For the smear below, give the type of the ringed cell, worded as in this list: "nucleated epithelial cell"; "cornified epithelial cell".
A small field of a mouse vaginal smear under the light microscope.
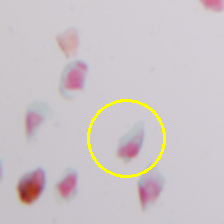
nucleated epithelial cell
